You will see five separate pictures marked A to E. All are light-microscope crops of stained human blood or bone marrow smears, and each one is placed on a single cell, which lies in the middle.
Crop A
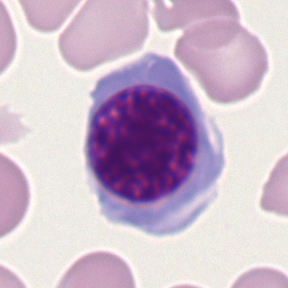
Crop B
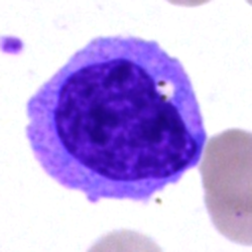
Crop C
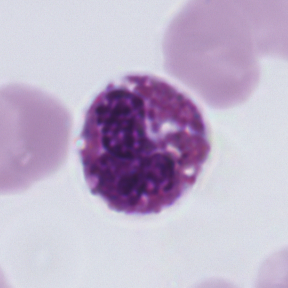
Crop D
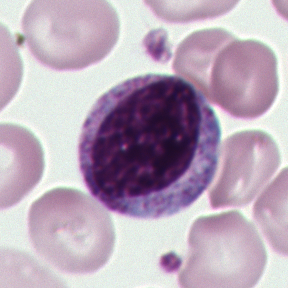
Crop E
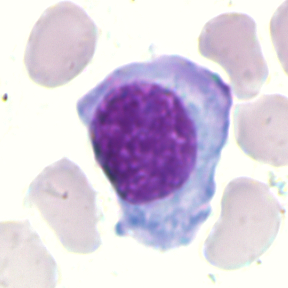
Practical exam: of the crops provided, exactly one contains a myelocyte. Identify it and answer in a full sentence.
Crop D is the correct crop, and it shows a myelocyte.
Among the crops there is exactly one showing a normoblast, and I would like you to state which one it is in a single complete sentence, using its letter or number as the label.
Crop A alone, of all the crops, shows a normoblast.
